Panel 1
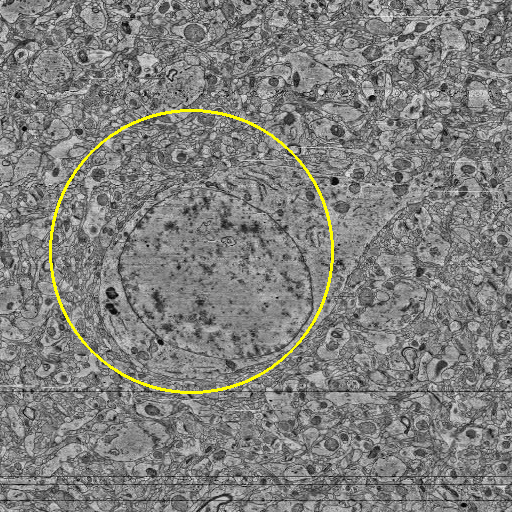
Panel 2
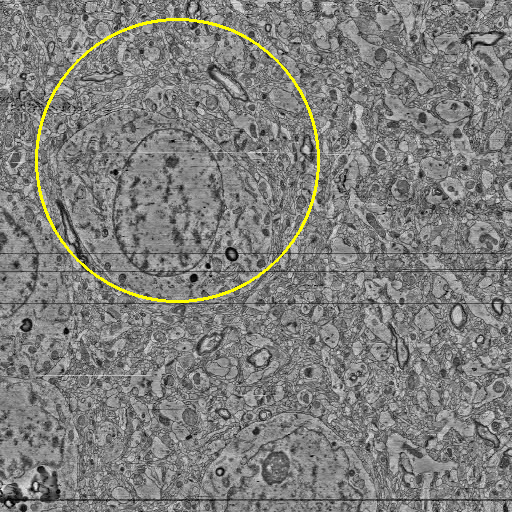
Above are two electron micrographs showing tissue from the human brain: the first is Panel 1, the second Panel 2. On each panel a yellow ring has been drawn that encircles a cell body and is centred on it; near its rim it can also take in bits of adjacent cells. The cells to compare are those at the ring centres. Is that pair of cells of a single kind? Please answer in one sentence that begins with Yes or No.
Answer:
Yes, the ring-centred cells of Panel 1 and Panel 2 belong to one kind.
